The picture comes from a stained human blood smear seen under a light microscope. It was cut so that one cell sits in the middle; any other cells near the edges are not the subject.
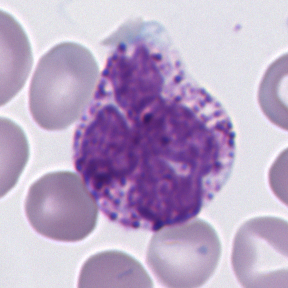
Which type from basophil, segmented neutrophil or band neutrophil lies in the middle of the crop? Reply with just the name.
basophil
